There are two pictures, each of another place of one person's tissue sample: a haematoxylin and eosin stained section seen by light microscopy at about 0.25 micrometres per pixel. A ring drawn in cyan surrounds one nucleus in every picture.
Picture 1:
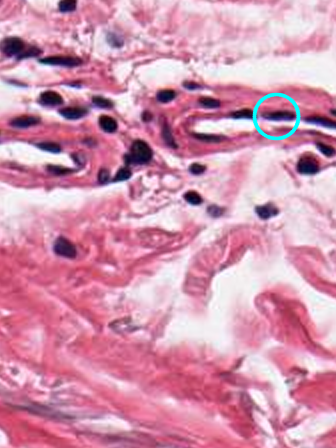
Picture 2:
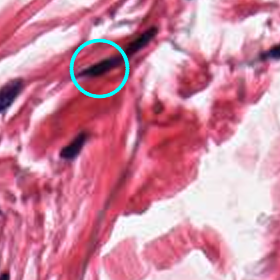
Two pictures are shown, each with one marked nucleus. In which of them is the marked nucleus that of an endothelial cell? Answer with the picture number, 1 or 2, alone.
1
